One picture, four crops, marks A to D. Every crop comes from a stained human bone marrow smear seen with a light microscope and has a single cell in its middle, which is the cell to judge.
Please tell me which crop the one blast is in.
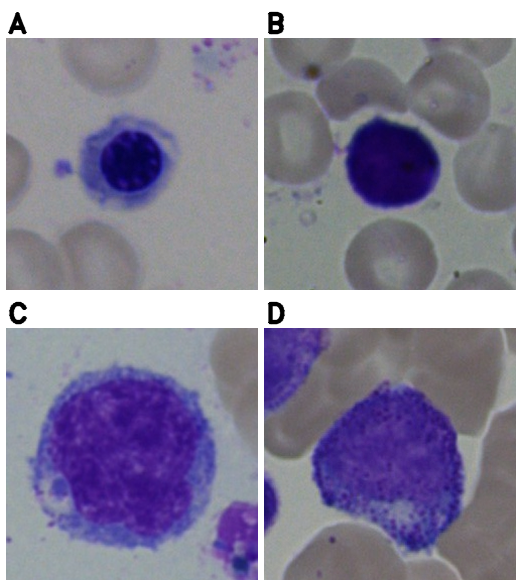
C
